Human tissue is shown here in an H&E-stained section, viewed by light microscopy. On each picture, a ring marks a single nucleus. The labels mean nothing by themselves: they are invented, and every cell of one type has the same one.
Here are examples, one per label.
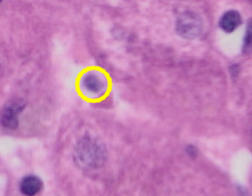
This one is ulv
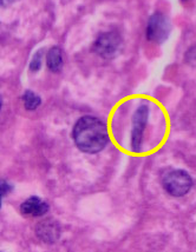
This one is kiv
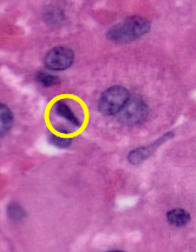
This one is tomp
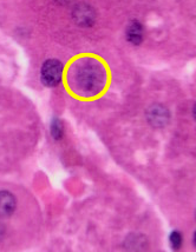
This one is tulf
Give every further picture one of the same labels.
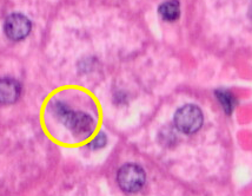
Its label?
kiv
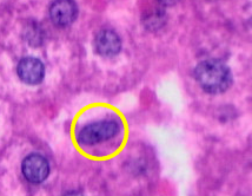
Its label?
kiv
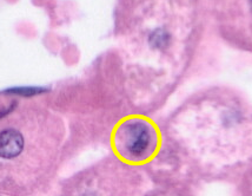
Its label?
tomp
